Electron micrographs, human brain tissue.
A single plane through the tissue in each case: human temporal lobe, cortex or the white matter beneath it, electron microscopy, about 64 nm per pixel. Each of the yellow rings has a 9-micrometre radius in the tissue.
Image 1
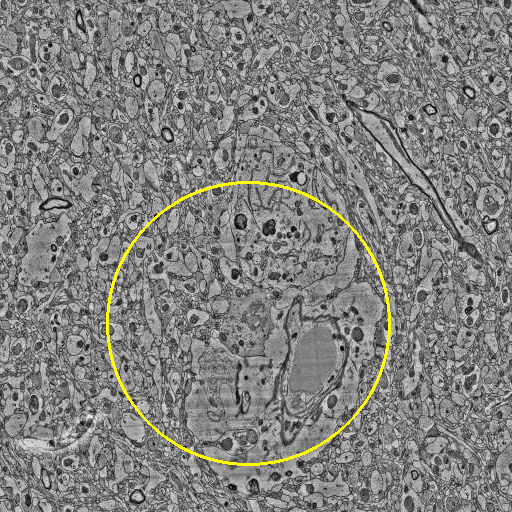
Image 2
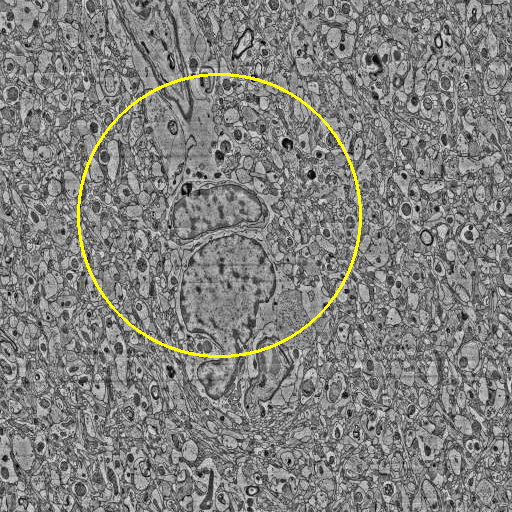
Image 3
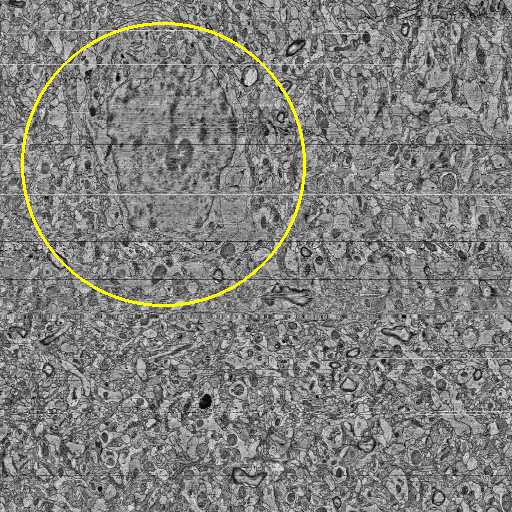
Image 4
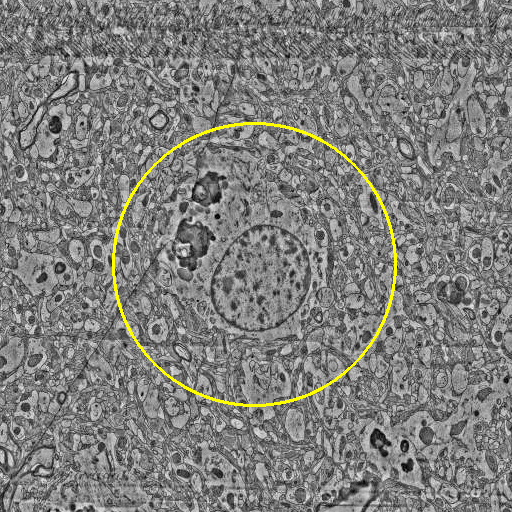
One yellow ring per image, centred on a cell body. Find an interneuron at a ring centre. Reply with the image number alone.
3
